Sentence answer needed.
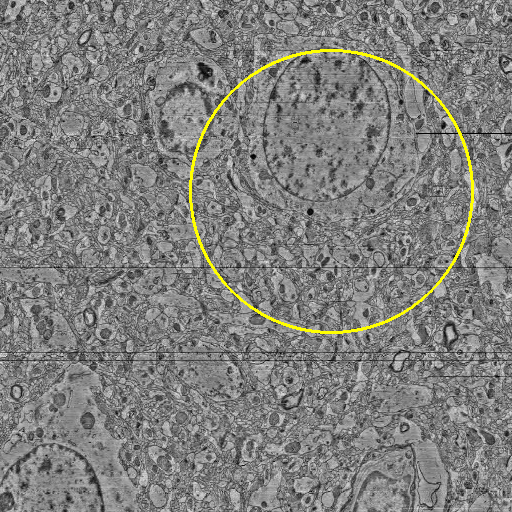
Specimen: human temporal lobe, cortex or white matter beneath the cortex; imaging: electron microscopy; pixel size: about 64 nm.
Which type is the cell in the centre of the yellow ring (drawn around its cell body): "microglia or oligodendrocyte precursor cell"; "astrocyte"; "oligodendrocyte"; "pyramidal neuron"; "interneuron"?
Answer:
In the centre of the yellow ring is a pyramidal neuron.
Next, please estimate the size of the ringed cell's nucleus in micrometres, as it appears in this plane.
In this plane, roughly 10 by 8 micrometres.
